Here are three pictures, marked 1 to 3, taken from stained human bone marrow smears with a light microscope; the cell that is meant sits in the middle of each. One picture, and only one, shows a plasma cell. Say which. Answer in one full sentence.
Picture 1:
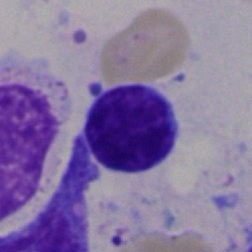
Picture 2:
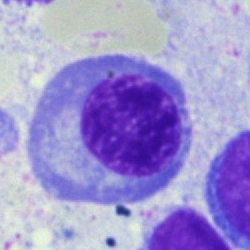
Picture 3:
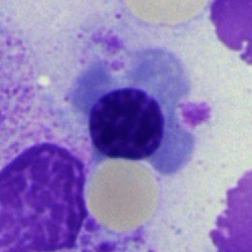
Picture 2 is the one that shows the plasma cell.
